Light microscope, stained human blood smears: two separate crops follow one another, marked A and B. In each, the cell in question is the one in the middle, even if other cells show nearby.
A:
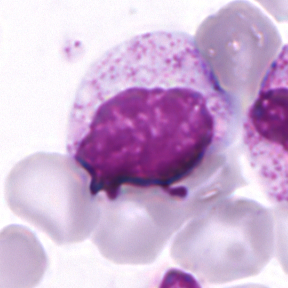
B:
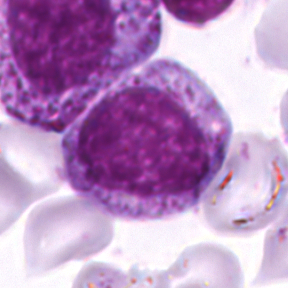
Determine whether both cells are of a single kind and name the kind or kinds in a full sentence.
Yes, in the case of both crops, the central cells are myelocytes.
